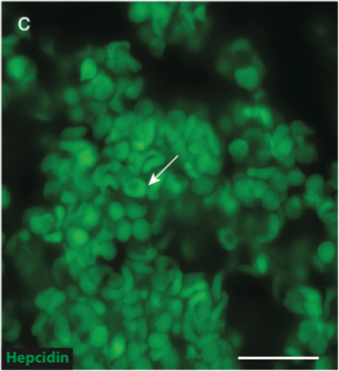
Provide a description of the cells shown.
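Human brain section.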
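This is a dense cluster of red blood cells packed together, all fluorescing green. The cells are small, uniform in size and round to oval in outline, and none shows a nucleus. Many are seen face-on with a paler centre and a brighter rim, the biconcave disc form, while others lie tilted or edge-on and appear as curved or cup-like profiles. The cells overlap and crowd one another against a dark background.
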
